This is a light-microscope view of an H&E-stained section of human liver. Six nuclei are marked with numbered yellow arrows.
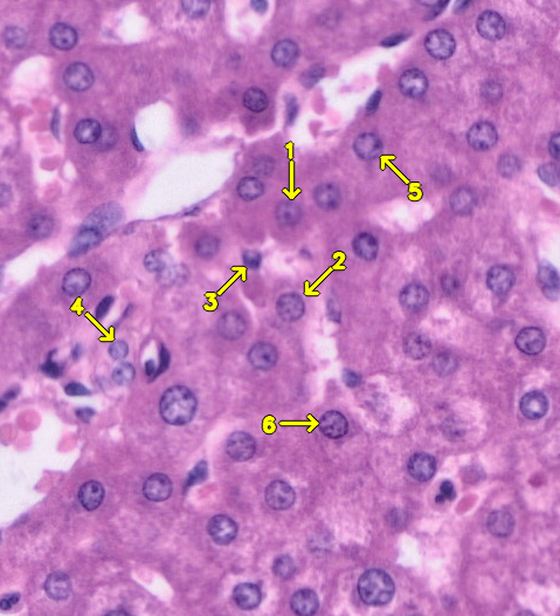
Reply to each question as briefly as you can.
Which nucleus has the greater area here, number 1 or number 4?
1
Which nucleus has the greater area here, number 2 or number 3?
2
